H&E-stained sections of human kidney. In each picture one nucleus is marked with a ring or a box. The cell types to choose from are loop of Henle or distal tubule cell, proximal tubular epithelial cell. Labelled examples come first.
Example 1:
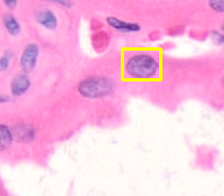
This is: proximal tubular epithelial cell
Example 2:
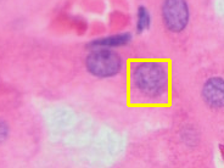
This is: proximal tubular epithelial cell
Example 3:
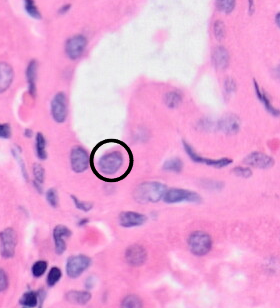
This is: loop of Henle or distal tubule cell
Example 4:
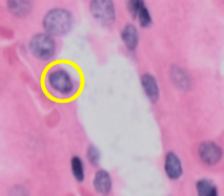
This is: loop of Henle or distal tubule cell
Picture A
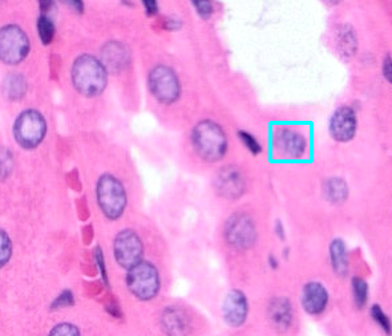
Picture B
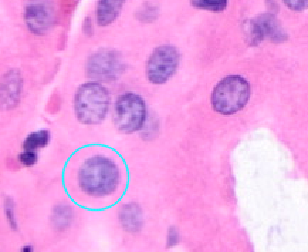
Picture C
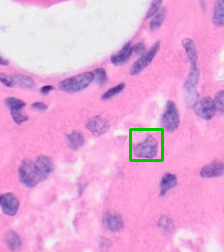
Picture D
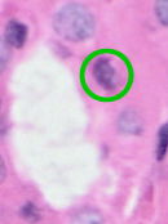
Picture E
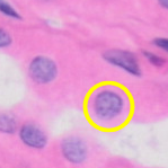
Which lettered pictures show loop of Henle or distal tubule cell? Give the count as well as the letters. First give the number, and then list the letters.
5: A, B, C, D, E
